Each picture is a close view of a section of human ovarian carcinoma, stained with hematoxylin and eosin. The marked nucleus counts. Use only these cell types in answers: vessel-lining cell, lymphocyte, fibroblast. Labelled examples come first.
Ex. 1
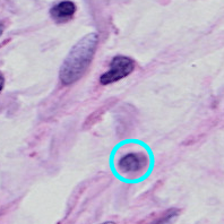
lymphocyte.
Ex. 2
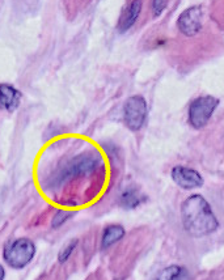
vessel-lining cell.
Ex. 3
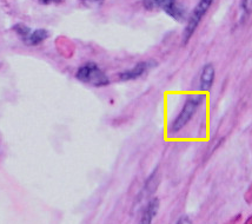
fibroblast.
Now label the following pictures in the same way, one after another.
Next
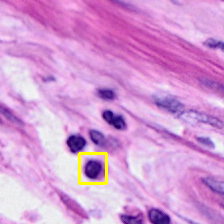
lymphocyte.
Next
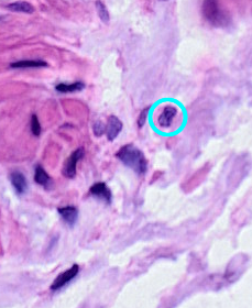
lymphocyte.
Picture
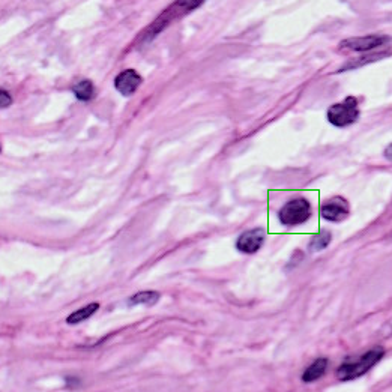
lymphocyte.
